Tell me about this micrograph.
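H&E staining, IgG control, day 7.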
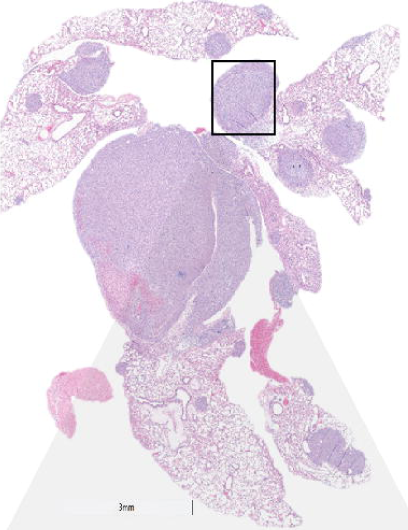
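A low-magnification section of lung lobes contains several round, densely purple tumour nodules set within pale pink, lacy alveolar tissue. One nodule is very large and occupies much of a lobe, while smaller nodules are scattered through the other lobes. The nodules are sharply demarcated and solid, pushing aside the surrounding airspaces, and a small square marks one of the nodules.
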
